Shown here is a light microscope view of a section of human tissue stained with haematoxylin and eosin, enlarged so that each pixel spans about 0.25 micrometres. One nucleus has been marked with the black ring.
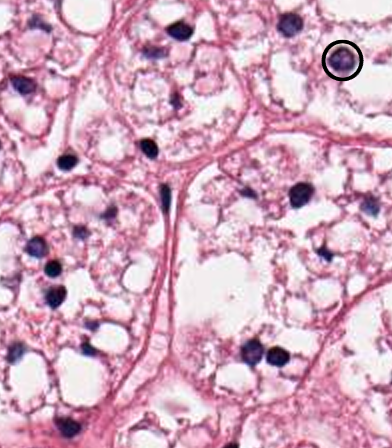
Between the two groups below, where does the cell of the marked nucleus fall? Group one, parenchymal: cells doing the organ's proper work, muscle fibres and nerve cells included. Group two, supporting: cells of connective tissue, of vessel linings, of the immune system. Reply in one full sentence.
What the marked nucleus belongs to is a parenchymal cell, namely an adrenal cortical cell.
